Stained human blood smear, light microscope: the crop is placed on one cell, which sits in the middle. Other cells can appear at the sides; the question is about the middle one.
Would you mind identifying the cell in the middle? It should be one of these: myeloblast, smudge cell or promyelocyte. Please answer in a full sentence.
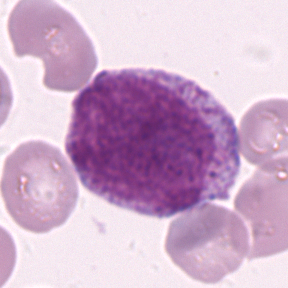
The single cell at the center of the crop is a promyelocyte.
